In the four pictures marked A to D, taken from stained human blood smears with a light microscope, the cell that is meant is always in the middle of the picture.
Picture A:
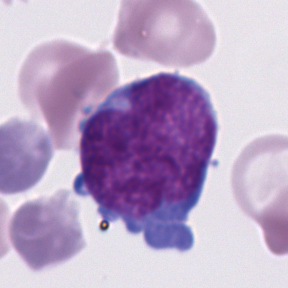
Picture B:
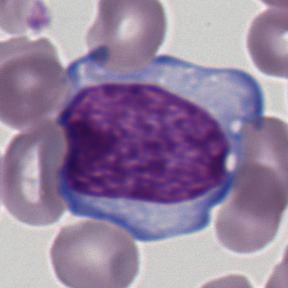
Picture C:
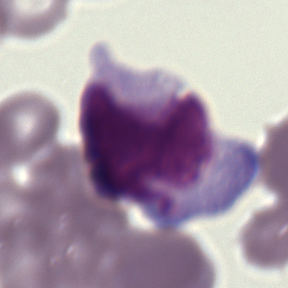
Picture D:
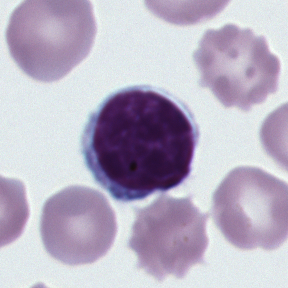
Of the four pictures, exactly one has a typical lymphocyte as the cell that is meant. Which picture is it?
D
